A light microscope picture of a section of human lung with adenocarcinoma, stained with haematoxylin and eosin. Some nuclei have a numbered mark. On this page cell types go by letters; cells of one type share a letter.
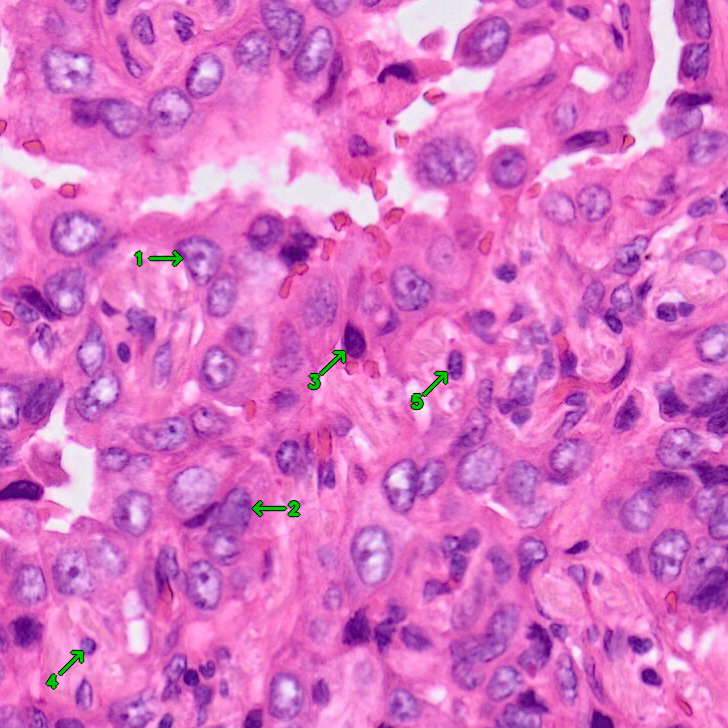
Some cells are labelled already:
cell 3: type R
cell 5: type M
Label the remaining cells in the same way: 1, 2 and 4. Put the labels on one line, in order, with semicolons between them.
type R; type R; type M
